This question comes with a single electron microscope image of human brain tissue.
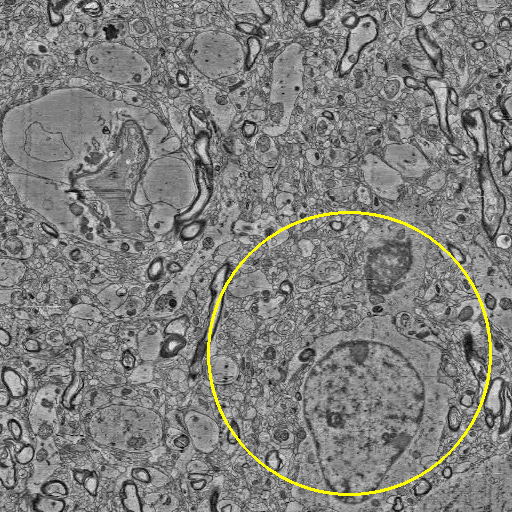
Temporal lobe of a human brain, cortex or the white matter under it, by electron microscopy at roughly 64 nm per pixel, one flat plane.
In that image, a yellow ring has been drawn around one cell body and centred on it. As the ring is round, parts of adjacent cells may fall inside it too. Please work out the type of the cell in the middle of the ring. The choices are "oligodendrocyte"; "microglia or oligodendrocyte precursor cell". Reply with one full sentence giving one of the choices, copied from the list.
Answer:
Of the choices, a microglial cell or oligodendrocyte precursor cell is the cell sitting in the middle of the ring.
